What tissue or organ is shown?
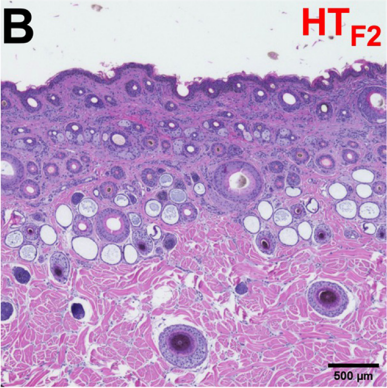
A: Skin.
